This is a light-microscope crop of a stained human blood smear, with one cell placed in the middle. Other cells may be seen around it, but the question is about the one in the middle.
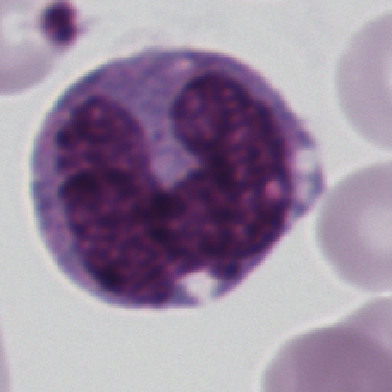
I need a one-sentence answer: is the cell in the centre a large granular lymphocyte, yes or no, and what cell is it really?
No, the cell in the middle is not a large granular lymphocyte but a monocyte.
